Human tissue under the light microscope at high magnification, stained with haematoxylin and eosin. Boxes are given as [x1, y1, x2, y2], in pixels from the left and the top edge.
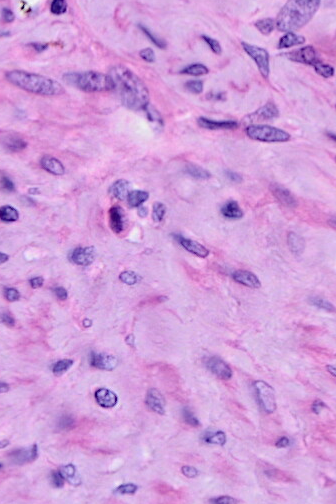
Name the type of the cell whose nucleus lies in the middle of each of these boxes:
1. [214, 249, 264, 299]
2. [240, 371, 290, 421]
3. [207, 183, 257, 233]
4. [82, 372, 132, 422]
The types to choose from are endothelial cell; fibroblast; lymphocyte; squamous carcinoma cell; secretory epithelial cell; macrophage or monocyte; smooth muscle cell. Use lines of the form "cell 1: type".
cell 1: smooth muscle cell
cell 2: smooth muscle cell
cell 3: lymphocyte
cell 4: lymphocyte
